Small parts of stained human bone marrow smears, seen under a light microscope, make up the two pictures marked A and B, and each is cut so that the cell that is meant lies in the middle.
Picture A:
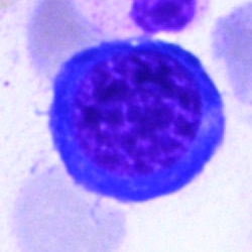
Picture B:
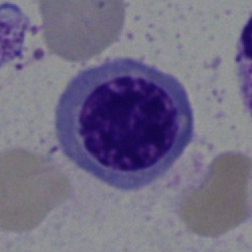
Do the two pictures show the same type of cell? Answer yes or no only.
yes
